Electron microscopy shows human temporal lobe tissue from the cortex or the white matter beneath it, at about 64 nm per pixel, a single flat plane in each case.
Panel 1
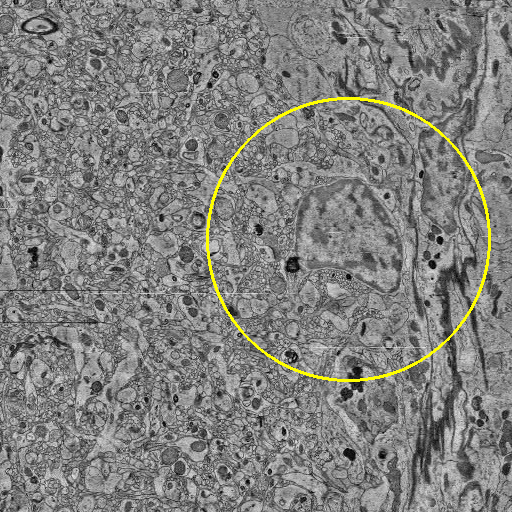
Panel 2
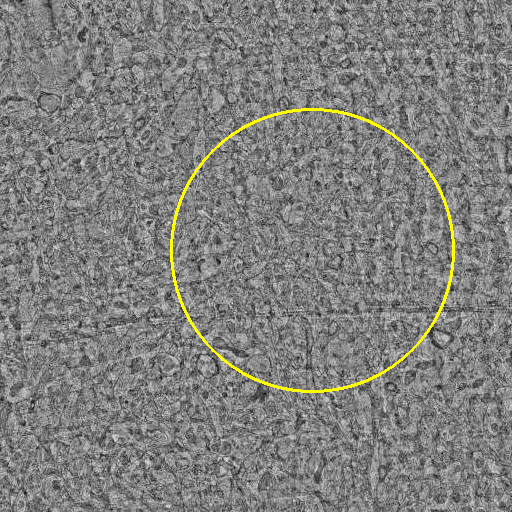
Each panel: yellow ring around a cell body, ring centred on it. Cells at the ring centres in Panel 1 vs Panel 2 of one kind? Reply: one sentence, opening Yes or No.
Yes, Panel 1 and Panel 2 have cells of one kind at the ring centres.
